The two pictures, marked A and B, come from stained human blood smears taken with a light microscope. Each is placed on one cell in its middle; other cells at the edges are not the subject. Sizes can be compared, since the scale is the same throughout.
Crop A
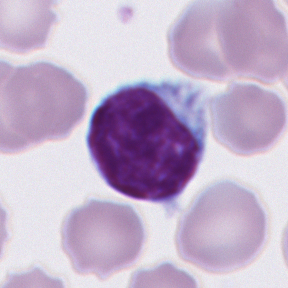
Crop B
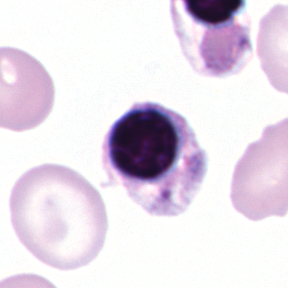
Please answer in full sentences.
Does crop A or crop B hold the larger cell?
It is the cell in crop A, about 1.5 times as large in area as the cell in crop B.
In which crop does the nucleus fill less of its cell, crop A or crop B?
In crop B the nucleus takes up the smaller part of its cell.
